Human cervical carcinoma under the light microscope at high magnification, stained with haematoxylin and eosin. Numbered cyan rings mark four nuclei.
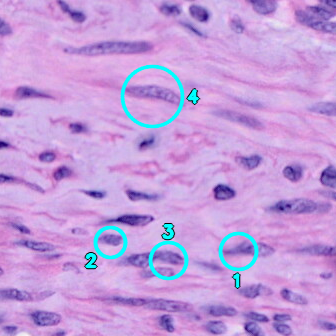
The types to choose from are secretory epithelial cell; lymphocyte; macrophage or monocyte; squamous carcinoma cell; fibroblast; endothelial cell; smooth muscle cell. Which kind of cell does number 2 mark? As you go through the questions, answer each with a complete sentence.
Cell 2 in the field is a fibroblast.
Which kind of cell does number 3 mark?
Cell 3 is classified as a smooth muscle cell.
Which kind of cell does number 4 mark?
It is as a smooth muscle cell that the cell numbered 4 is identified.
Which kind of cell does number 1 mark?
Cell 1, among those numbered, is a smooth muscle cell.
